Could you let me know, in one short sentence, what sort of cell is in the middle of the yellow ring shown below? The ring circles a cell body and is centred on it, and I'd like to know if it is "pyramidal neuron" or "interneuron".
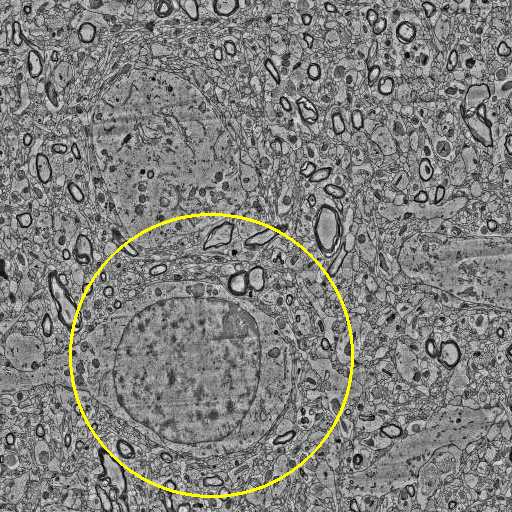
The ring circles the cell body of an interneuron.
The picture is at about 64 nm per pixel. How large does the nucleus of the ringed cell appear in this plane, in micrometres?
The nucleus measures about 10 micrometers across in this plane.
